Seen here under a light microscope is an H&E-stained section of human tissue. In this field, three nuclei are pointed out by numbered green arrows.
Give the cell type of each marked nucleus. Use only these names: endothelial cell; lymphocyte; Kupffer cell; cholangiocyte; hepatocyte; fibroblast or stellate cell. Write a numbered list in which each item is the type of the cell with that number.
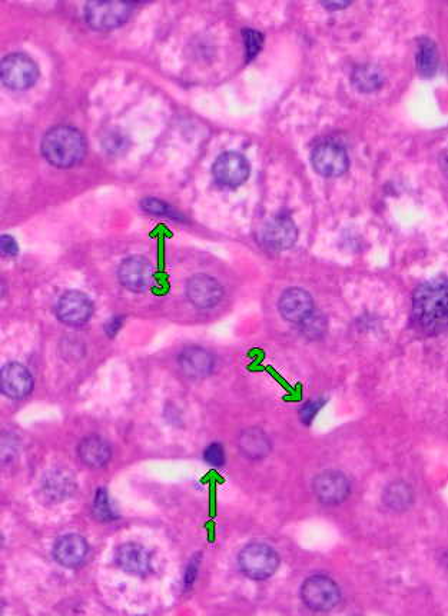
1. fibroblast or stellate cell
2. endothelial cell
3. Kupffer cell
